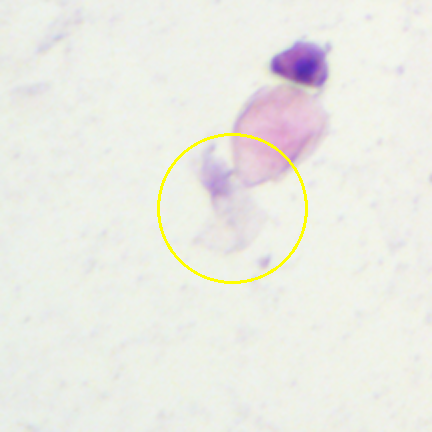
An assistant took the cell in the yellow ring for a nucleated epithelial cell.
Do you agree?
I disagree, it is a cornified epithelial cell.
